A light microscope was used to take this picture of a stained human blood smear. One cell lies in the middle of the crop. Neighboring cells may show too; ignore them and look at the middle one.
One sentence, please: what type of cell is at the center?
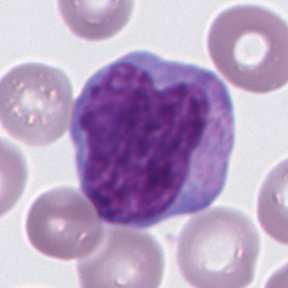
At the middle of the frame sits an atypical promyelocyte.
